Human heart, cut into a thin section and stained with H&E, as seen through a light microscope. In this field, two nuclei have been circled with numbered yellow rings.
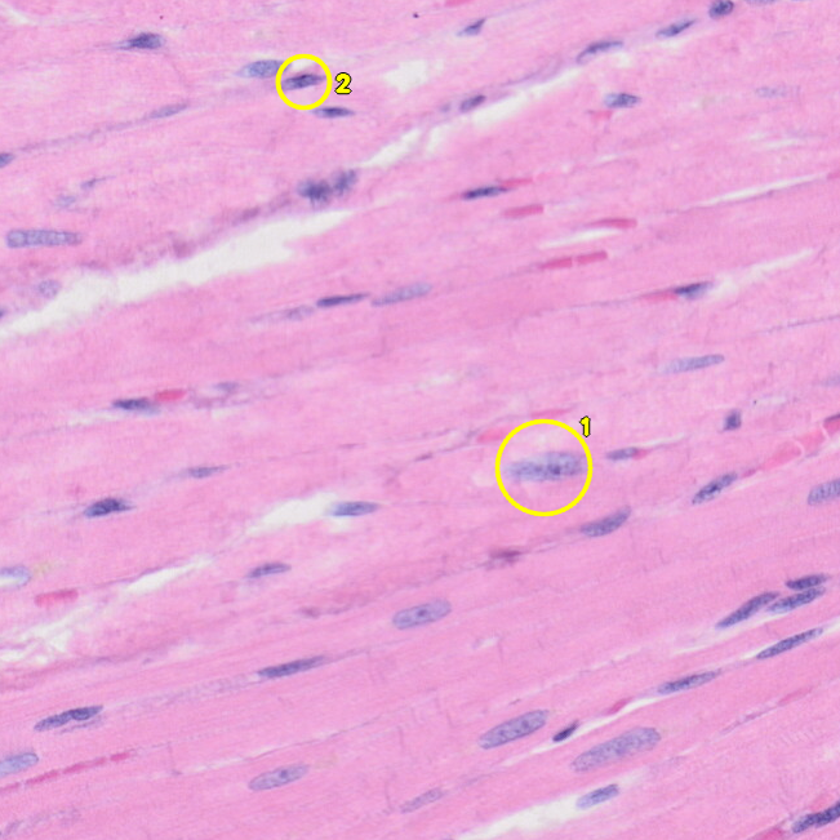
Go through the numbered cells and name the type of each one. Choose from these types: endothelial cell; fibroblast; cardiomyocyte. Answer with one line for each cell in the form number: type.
1: cardiomyocyte
2: endothelial cell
